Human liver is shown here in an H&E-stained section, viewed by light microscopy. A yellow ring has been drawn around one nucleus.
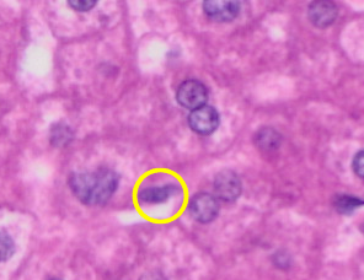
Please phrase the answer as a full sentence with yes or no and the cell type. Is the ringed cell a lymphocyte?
No, the ringed cell is classed as a Kupffer cell, not a lymphocyte.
